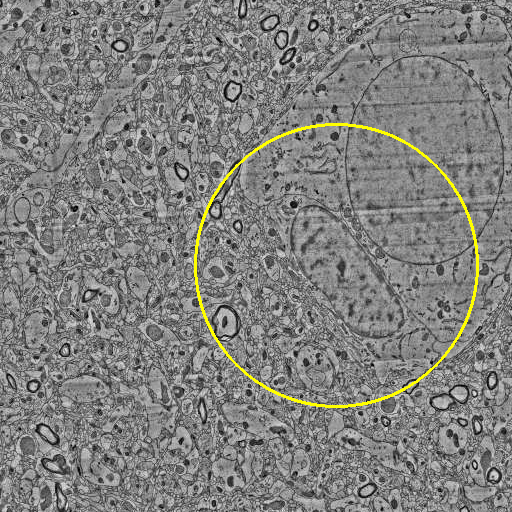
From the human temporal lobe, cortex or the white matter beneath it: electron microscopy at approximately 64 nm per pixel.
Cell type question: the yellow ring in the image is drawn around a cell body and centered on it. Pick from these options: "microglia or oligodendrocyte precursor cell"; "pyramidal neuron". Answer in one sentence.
The ringed cell at the center is a microglial cell or oligodendrocyte precursor cell.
